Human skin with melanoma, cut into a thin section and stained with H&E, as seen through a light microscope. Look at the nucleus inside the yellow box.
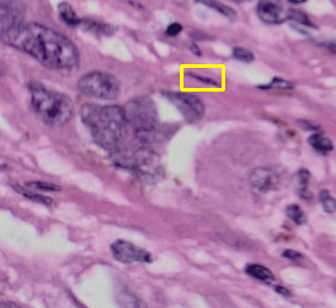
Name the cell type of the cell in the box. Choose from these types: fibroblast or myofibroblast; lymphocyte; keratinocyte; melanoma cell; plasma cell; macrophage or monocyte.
fibroblast or myofibroblast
